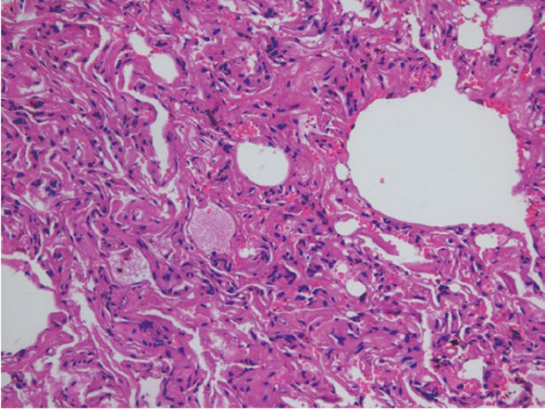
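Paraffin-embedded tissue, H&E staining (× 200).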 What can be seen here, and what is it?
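Lung tissue with focal fibrosis and inflammatory cell infiltration: much of the field is taken by pink, wavy collagenous stroma containing elongated spindle-shaped nuclei. Small dark round nuclei of inflammatory cells are scattered through the stroma. Open, rounded airspaces of varying size remain, separated by thickened fibrous walls. A few pale pink rounded masses lie within small spaces in the centre. No glands or sheets of atypical epithelial cells are seen.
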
